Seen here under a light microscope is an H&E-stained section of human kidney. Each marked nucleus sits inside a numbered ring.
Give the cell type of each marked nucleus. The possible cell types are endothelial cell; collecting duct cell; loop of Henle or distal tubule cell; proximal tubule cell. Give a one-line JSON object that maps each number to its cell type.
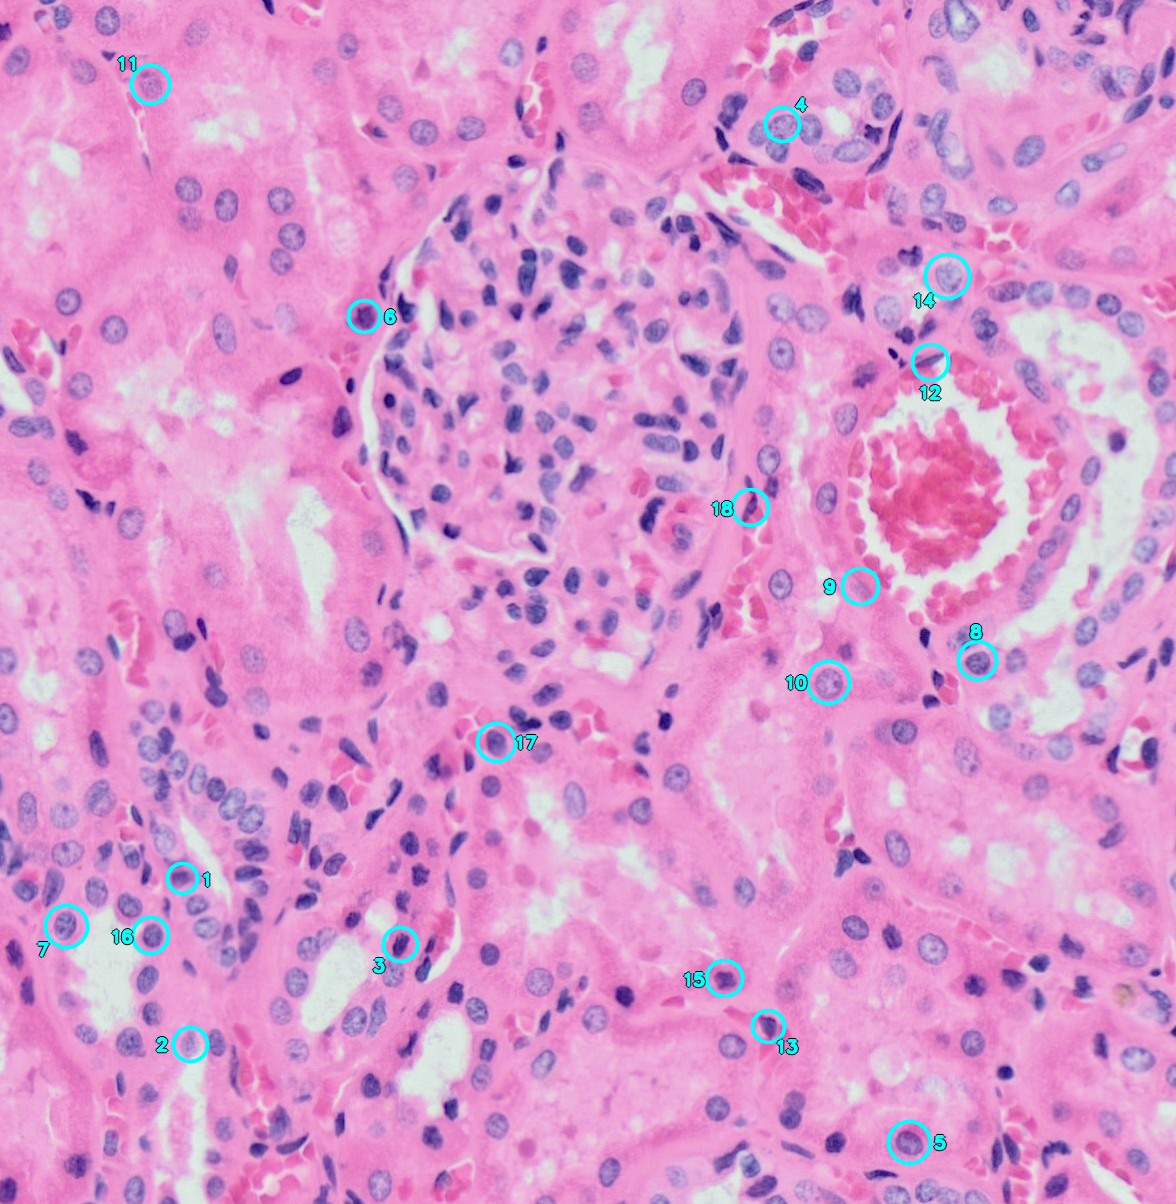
{"1": "collecting duct cell", "2": "loop of Henle or distal tubule cell", "3": "loop of Henle or distal tubule cell", "4": "collecting duct cell", "5": "proximal tubule cell", "6": "proximal tubule cell", "7": "loop of Henle or distal tubule cell", "8": "collecting duct cell", "9": "proximal tubule cell", "10": "proximal tubule cell", "11": "proximal tubule cell", "12": "endothelial cell", "13": "endothelial cell", "14": "collecting duct cell", "15": "proximal tubule cell", "16": "loop of Henle or distal tubule cell", "17": "endothelial cell", "18": "endothelial cell"}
